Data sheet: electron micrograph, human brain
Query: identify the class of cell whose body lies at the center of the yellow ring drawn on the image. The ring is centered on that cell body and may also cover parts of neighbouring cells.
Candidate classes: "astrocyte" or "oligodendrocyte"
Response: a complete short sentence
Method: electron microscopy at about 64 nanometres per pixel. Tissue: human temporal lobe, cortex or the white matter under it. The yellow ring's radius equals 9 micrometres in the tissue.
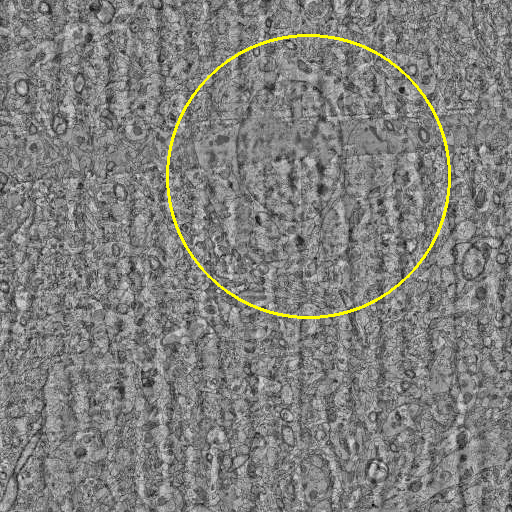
At the center of the ring lies an astrocyte.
